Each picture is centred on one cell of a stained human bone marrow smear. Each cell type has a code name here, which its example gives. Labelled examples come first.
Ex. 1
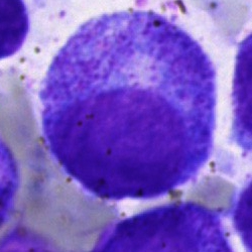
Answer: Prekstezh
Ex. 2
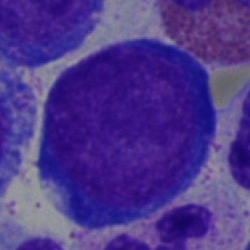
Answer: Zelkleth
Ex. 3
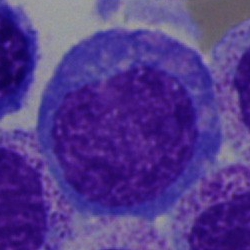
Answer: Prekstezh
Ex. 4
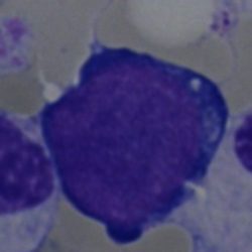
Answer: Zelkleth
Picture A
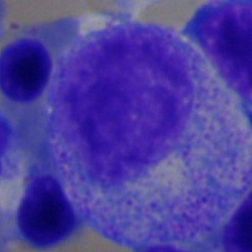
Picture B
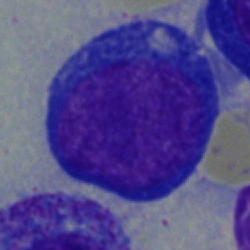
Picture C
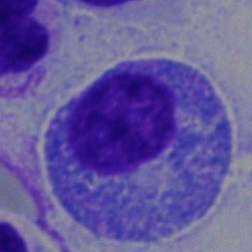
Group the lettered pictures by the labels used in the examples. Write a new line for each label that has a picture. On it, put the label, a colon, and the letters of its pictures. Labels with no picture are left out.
Prekstezh: A, C
Zelkleth: B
